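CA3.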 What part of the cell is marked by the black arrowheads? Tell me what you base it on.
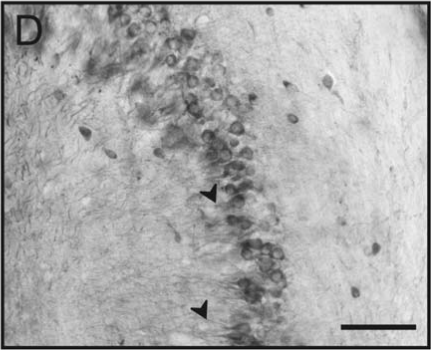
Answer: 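Thin labeled strands run out from the cell bodies into the paler layer beside the band.
Conclusion: processes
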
